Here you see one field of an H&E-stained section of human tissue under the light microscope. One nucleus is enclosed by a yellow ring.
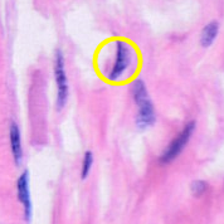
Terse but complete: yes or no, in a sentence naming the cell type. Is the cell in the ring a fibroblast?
Yes, the identification stands: the cell in the ring is a fibroblast.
